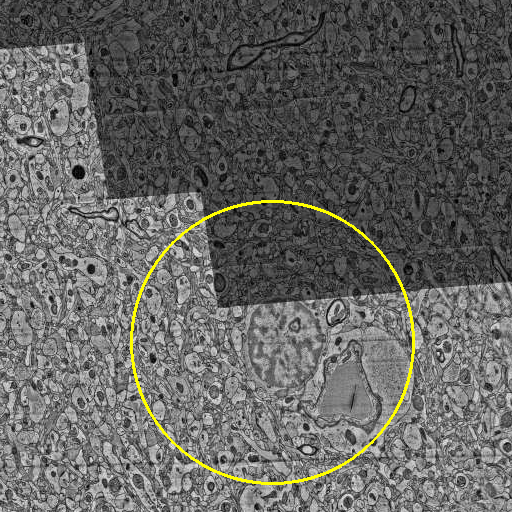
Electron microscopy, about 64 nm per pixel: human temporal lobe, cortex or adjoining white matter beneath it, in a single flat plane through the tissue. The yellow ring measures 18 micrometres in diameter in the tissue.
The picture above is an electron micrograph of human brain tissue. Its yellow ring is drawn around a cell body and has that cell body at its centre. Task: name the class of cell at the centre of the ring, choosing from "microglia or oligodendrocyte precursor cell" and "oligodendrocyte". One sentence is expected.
The ring surrounds the body of an oligodendrocyte.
